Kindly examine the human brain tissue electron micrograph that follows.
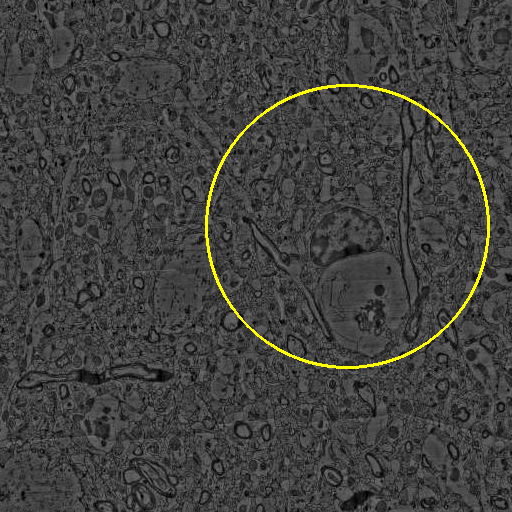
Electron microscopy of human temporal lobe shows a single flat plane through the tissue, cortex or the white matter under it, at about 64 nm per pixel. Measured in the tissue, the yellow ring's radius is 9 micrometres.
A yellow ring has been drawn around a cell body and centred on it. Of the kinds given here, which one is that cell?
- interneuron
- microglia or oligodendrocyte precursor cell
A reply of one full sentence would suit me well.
The micrograph's ringed cell, the one at the ring's centre, is a microglial cell or oligodendrocyte precursor cell.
